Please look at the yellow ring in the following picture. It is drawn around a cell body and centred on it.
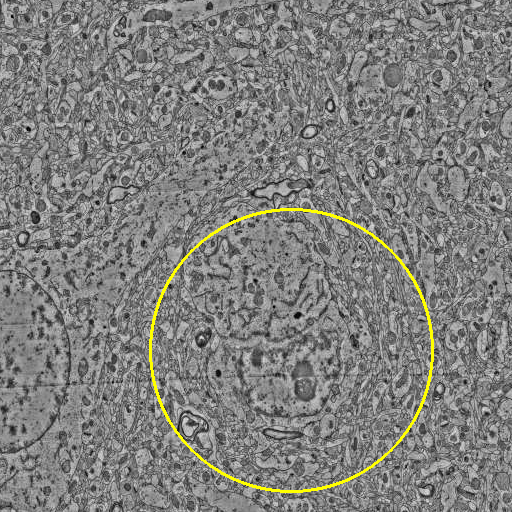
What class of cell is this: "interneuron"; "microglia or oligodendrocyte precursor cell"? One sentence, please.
The ring surrounds the cell body of an interneuron.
